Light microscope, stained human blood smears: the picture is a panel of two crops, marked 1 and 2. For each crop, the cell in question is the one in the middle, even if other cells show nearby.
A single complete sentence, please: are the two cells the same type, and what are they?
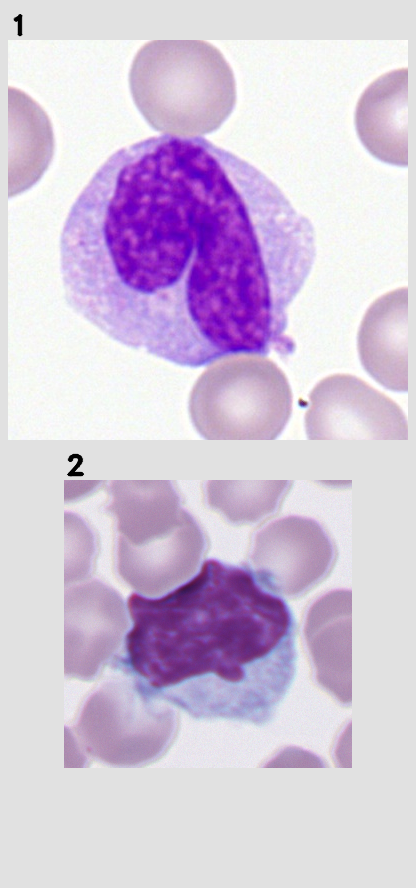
Yes, the cells centred in the two crops are both monocytes.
